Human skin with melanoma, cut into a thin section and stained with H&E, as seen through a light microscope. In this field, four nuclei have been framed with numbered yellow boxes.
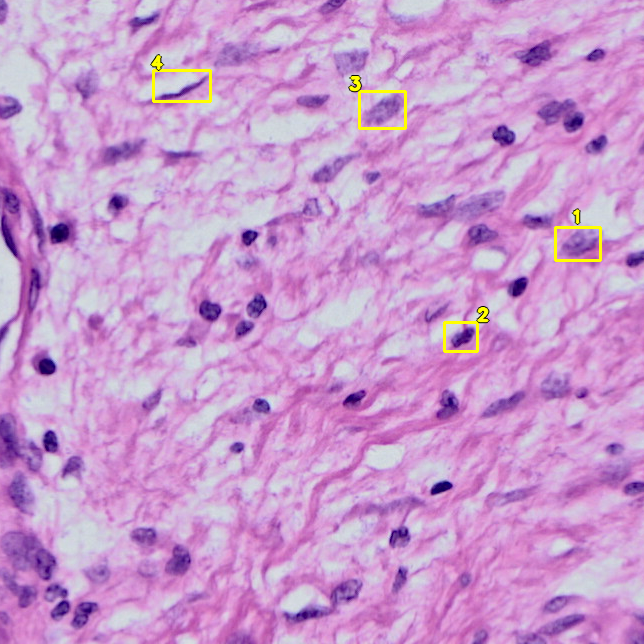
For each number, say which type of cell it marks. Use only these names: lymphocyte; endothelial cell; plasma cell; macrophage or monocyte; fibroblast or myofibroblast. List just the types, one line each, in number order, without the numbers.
fibroblast or myofibroblast
lymphocyte
fibroblast or myofibroblast
fibroblast or myofibroblast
